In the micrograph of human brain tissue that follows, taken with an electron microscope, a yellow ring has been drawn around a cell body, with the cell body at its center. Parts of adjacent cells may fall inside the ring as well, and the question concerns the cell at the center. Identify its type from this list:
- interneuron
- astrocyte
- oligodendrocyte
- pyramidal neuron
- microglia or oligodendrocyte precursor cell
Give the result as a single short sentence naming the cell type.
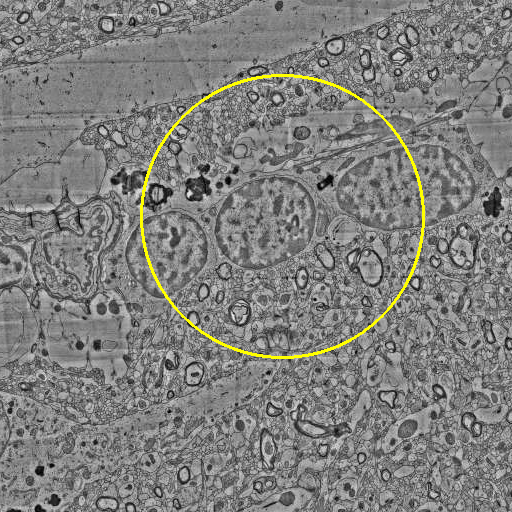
The ring is centered on an oligodendrocyte.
